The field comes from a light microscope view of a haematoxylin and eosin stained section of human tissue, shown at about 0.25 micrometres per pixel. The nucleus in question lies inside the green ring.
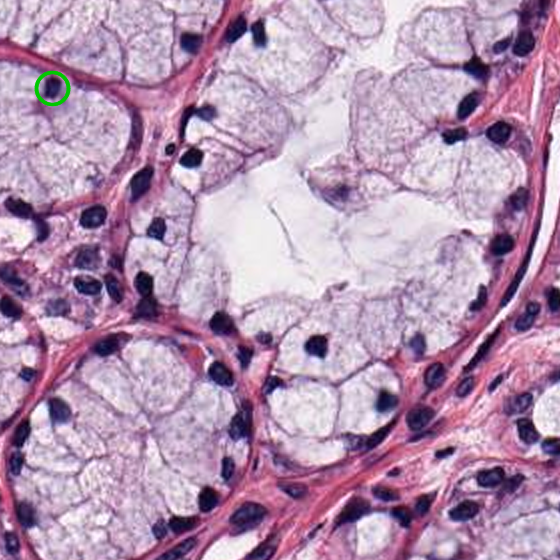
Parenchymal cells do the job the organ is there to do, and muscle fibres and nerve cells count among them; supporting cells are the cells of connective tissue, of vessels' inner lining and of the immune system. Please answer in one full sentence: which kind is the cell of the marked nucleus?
It is a parenchymal cell, namely a mucous gland cell, to which the marked nucleus belongs.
